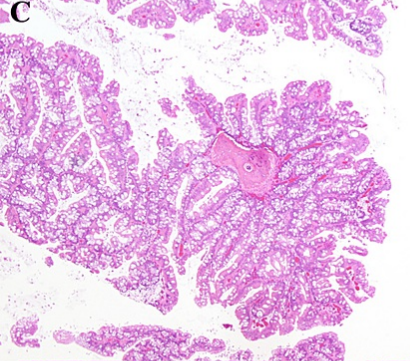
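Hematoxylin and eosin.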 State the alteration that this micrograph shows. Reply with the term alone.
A: osseous metaplasia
